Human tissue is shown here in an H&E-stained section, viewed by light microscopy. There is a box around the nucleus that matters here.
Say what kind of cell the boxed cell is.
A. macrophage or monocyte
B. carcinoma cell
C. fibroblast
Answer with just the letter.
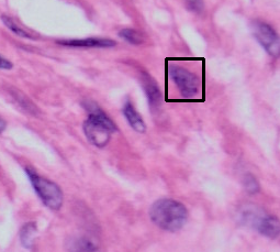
C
